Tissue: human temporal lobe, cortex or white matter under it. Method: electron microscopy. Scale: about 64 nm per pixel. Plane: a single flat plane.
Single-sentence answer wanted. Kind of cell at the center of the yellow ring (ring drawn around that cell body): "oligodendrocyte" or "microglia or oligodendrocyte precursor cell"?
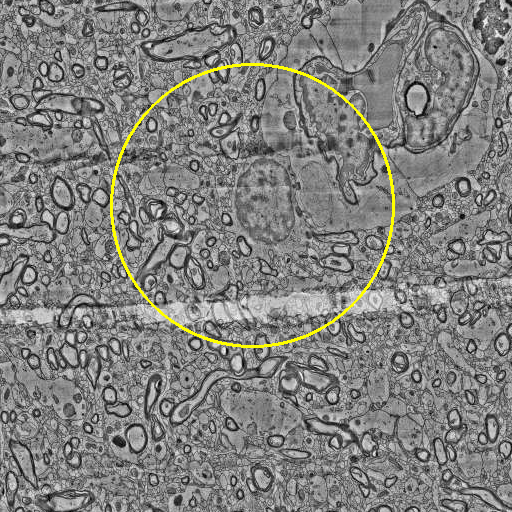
The cell centered in the ring is an oligodendrocyte.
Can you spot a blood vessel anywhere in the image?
Yes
